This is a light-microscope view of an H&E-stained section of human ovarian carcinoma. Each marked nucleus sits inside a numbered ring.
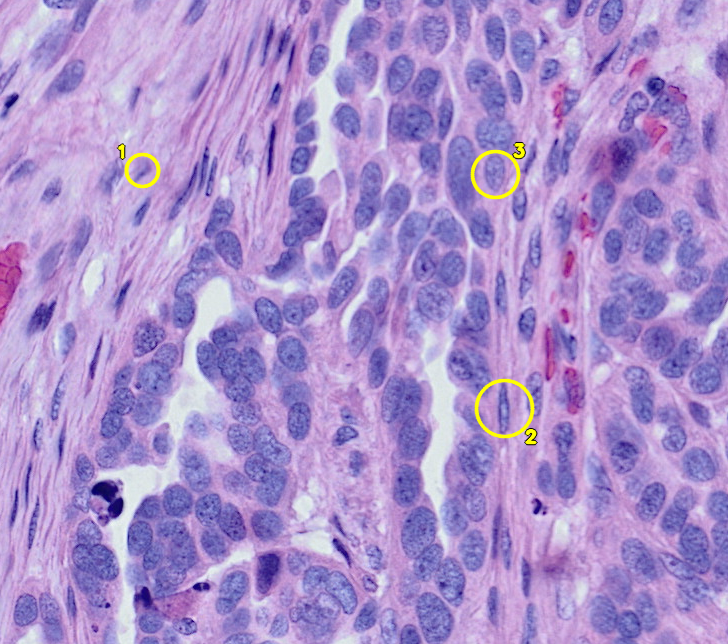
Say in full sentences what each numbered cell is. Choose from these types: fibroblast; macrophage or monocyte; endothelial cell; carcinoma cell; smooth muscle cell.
Cell 1 is a fibroblast, cell 2 is a fibroblast and cell 3 is a carcinoma cell.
